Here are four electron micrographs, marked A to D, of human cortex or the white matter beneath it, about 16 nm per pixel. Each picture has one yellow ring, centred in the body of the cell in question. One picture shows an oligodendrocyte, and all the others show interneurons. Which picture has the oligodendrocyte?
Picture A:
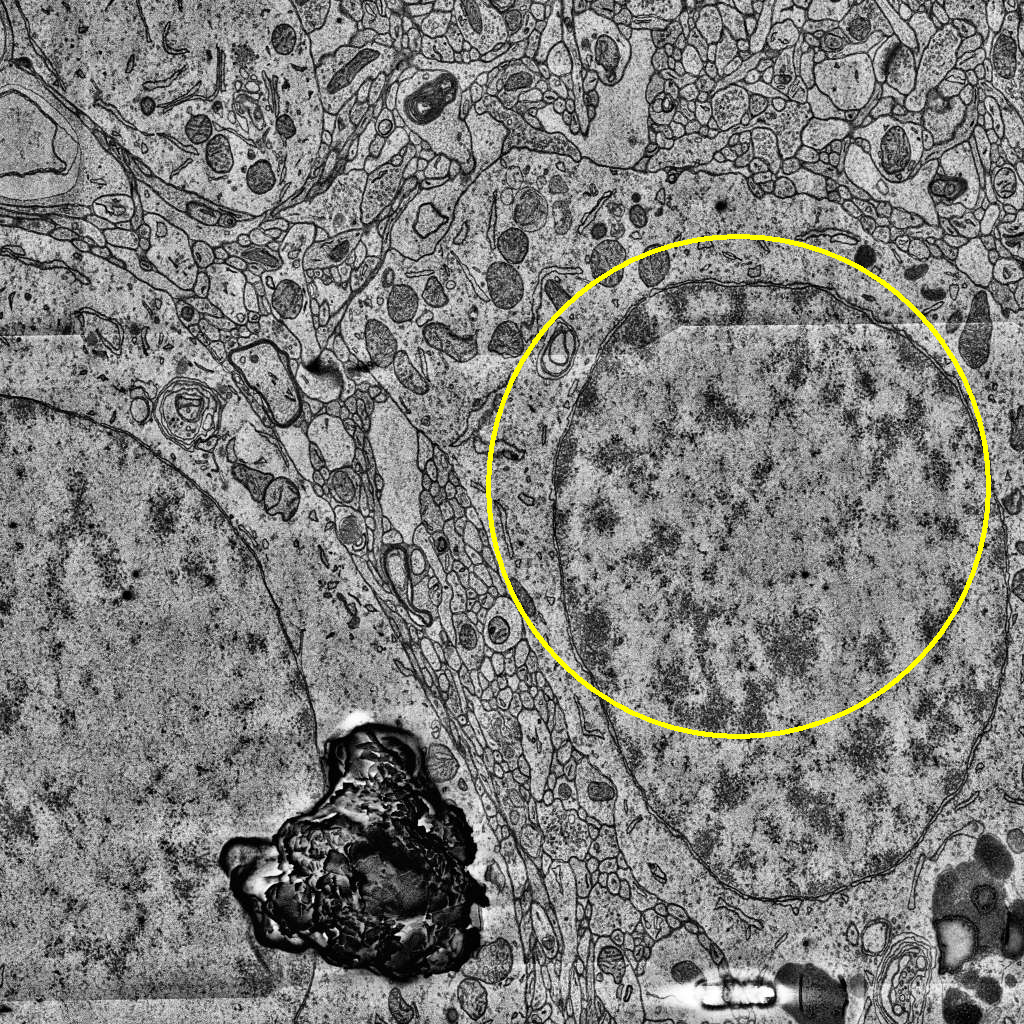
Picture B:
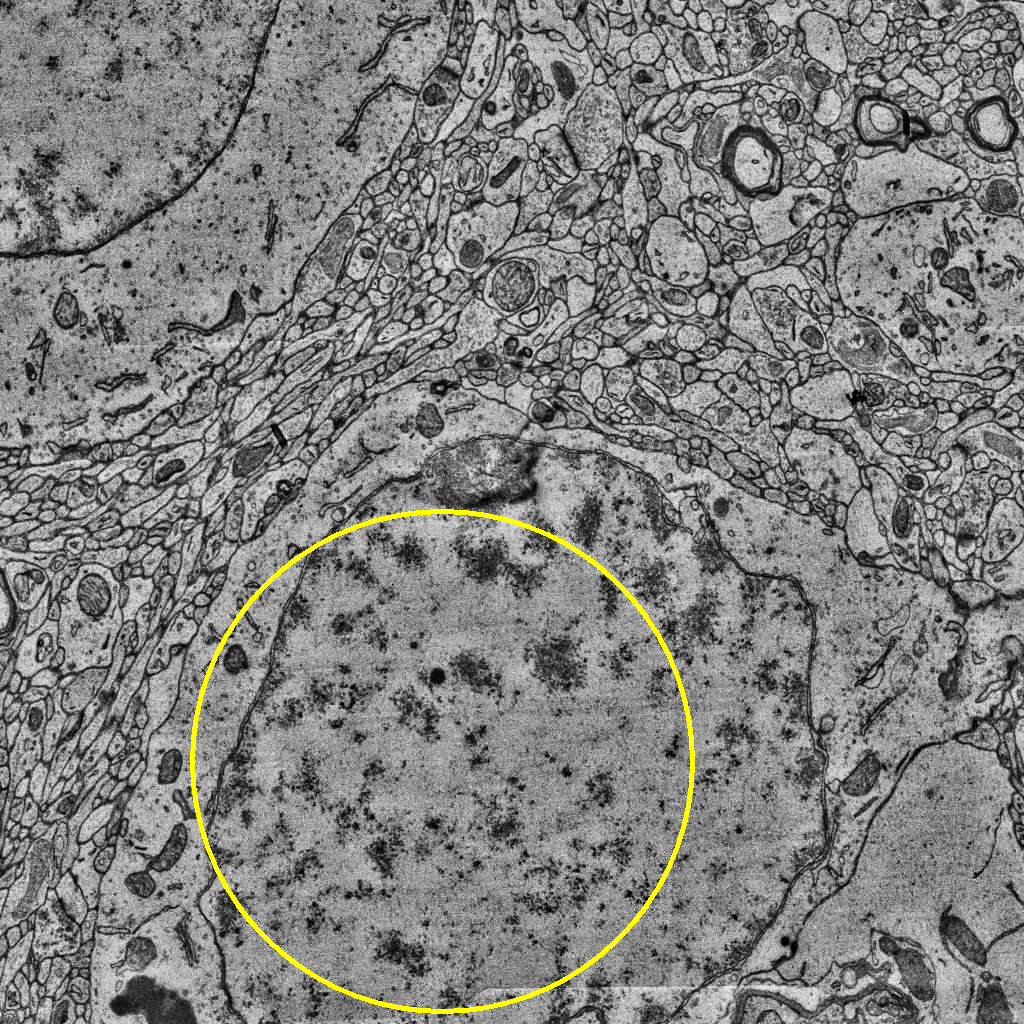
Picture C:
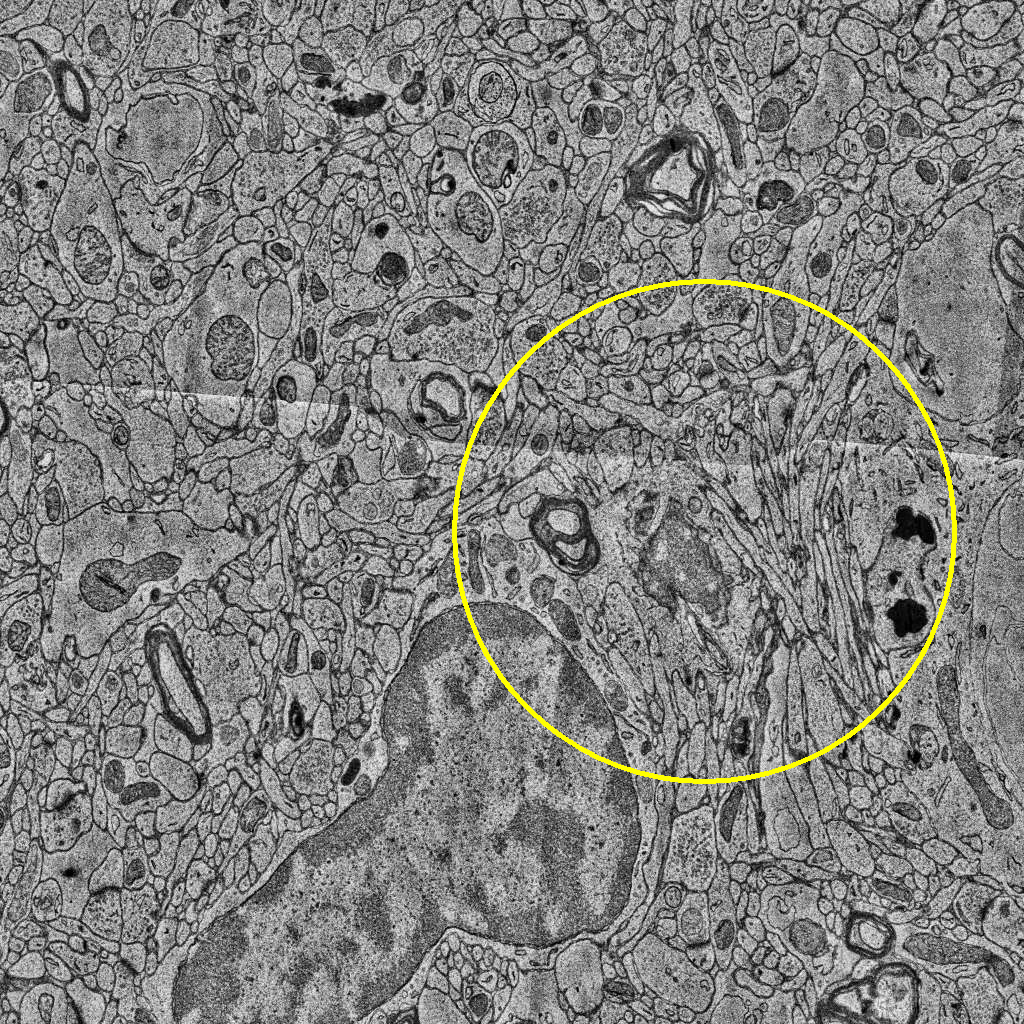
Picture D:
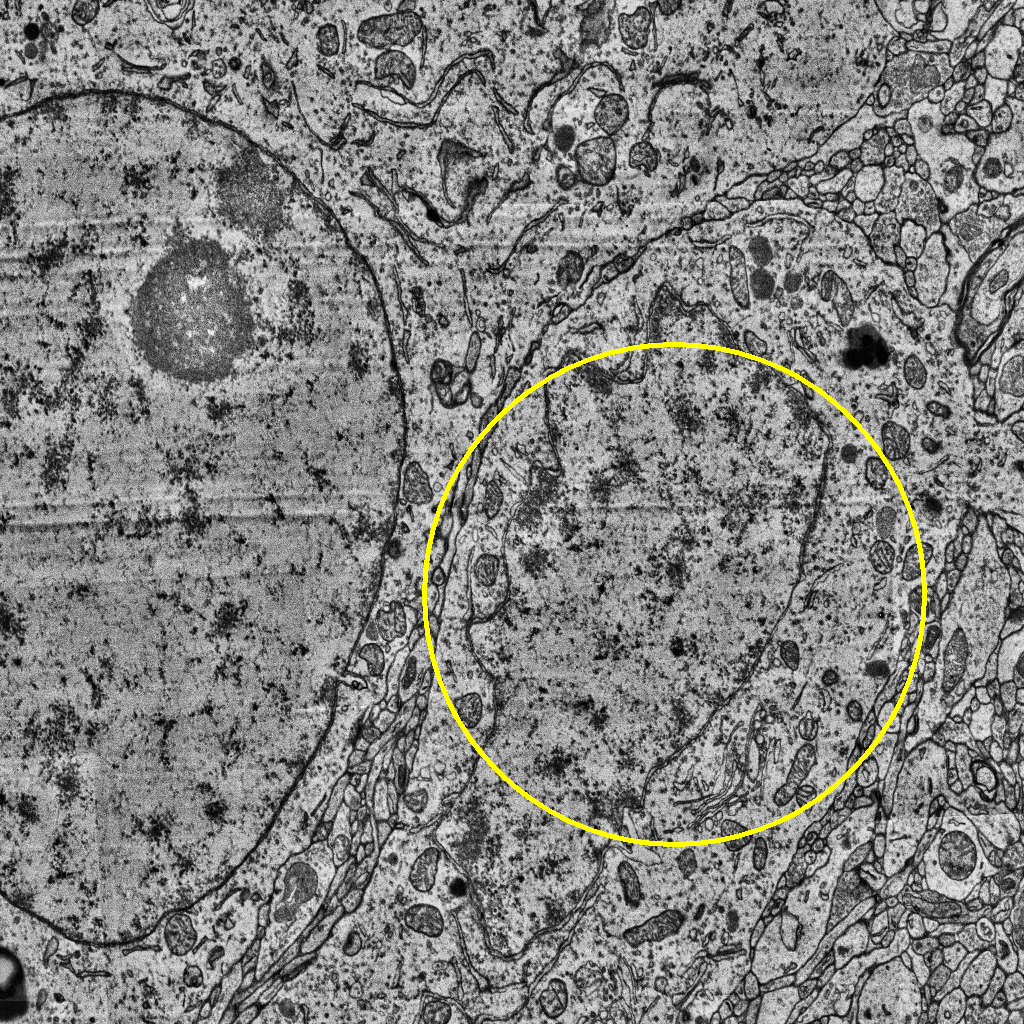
The picture with the oligodendrocyte is C.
